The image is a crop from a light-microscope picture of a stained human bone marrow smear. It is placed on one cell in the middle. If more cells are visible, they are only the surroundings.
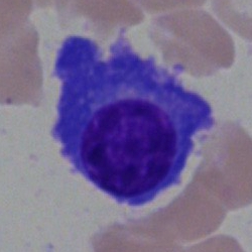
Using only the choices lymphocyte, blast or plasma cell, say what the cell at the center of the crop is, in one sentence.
For this crop, the cell in the middle is a plasma cell.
